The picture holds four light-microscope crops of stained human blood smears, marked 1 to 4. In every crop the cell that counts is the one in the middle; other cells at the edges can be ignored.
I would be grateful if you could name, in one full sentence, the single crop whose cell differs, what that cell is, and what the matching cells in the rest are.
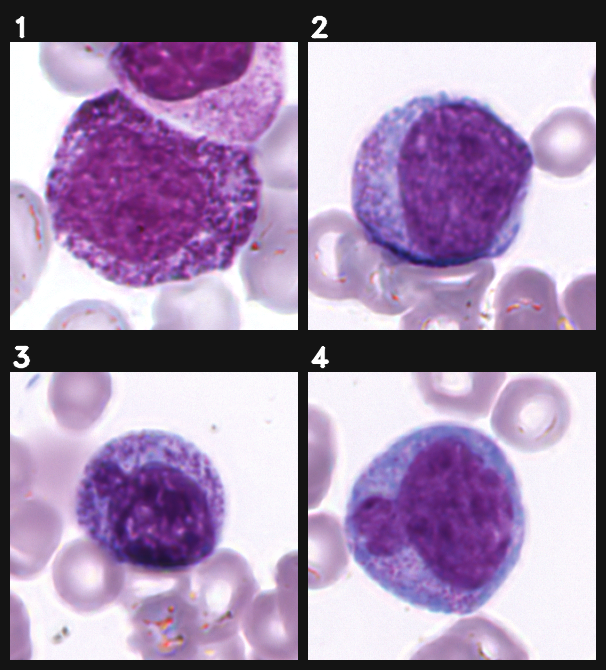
The exception in this group is crop 3, a myelocyte, and the others are all promyelocytes.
